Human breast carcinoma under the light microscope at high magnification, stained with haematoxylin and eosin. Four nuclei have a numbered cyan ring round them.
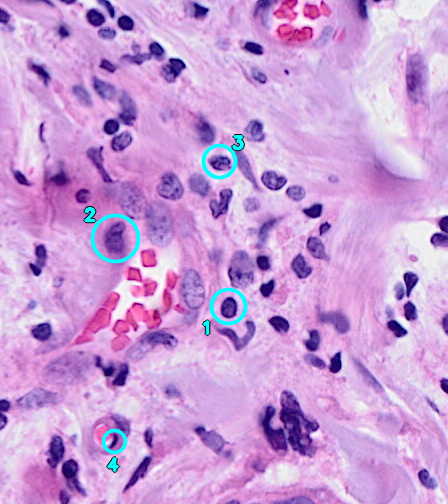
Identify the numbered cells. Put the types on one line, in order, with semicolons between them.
lymphocyte; endothelial cell; lymphocyte; endothelial cell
